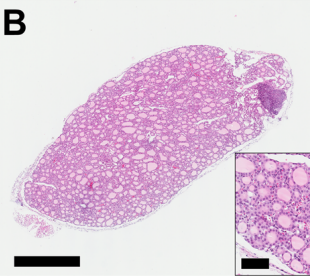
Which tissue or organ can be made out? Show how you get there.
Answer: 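Many round follicles of varying size containing pink homogeneous material. Follicles are lined by a single layer of epithelial cells with purple nuclei. On this evidence: thyroid gland.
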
